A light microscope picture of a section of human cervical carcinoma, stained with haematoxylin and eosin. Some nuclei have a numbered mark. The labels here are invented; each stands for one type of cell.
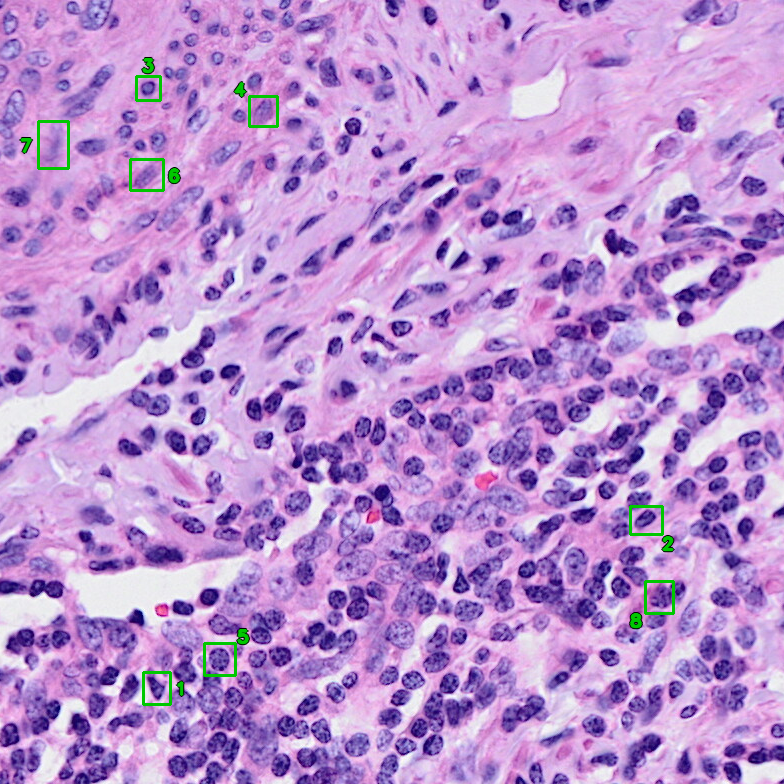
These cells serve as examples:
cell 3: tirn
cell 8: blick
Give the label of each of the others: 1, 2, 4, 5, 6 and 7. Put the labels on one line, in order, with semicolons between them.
blick; blick; tirn; blick; tirn; tirn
